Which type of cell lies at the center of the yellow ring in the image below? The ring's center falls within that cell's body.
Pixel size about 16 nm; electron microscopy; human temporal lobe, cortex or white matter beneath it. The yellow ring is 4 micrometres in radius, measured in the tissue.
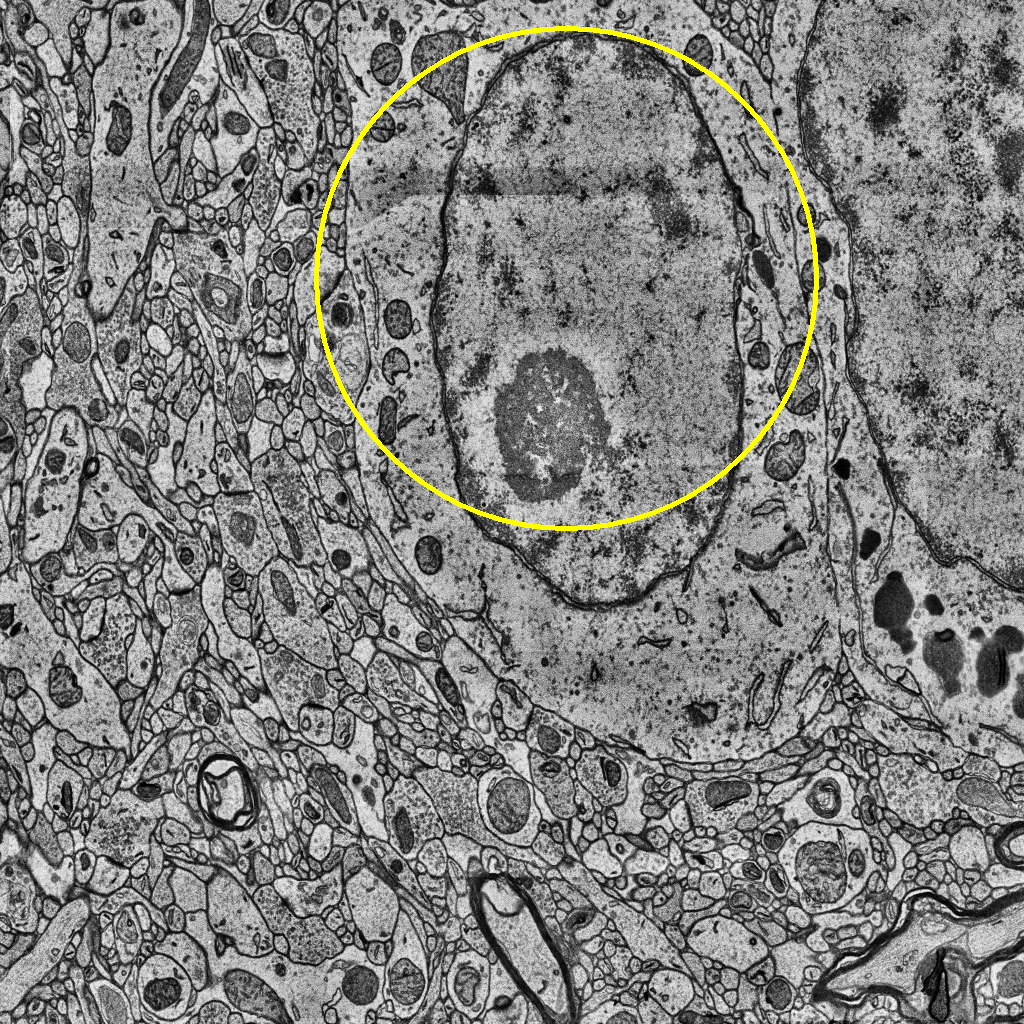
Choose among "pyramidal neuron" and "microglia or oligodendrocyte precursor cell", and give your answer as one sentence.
The cell body at the center belongs to a pyramidal neuron.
